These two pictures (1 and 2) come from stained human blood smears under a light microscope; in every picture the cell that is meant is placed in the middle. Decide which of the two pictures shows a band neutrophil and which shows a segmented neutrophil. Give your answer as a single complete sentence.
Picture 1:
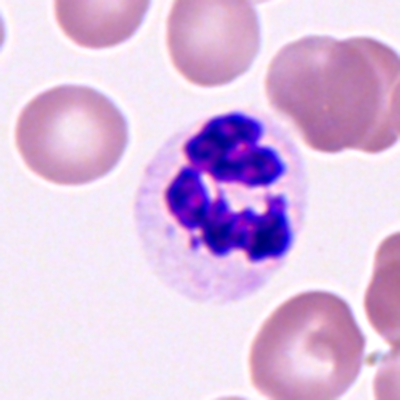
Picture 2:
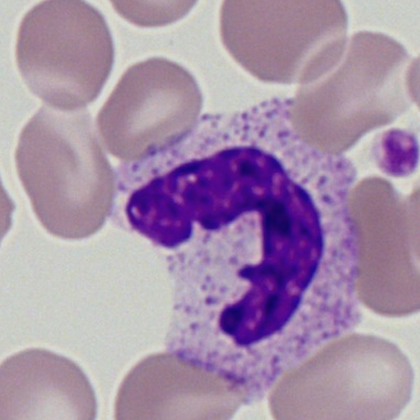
It is picture 1 that shows a segmented neutrophil, and picture 2 that shows a band neutrophil.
